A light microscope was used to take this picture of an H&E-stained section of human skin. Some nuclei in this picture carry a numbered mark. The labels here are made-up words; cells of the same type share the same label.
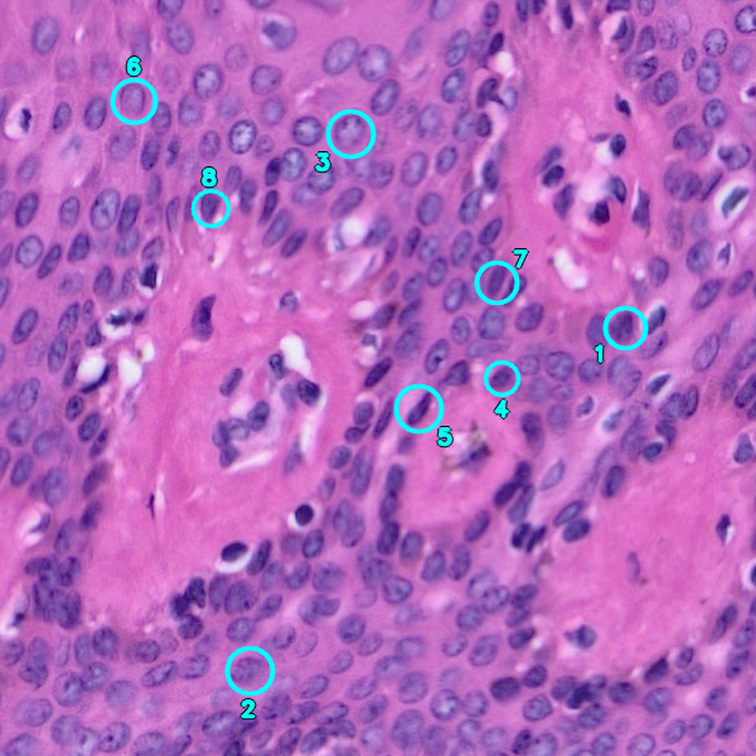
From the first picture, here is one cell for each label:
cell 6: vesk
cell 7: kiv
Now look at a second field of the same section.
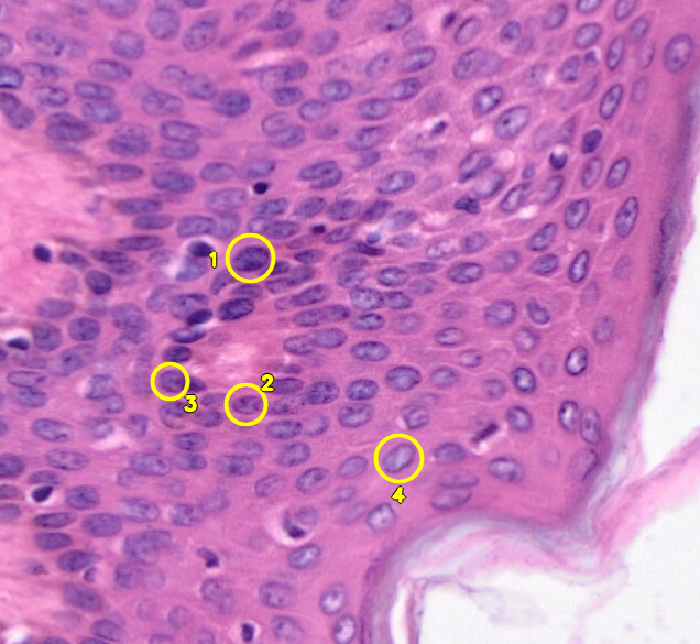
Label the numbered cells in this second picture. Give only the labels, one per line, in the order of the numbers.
kiv
kiv
kiv
vesk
